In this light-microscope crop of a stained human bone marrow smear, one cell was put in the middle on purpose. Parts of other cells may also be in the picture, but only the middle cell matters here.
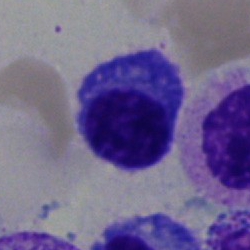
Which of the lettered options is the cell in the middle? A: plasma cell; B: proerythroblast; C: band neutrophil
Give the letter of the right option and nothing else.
A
